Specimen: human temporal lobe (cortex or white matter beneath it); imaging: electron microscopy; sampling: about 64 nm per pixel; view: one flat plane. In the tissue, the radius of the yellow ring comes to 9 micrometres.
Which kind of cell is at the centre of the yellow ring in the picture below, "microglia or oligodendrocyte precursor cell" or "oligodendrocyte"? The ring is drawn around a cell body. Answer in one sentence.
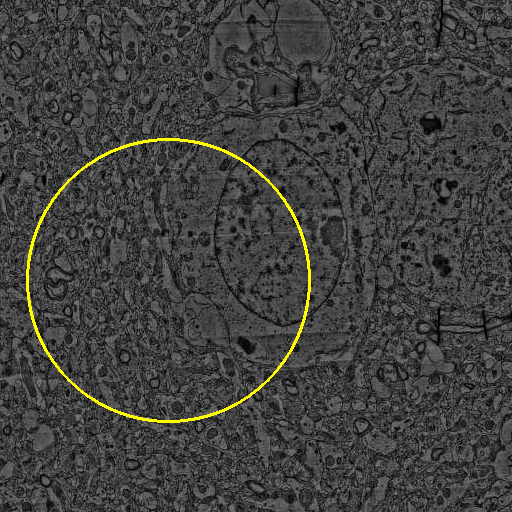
The ring's central cell is an oligodendrocyte.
